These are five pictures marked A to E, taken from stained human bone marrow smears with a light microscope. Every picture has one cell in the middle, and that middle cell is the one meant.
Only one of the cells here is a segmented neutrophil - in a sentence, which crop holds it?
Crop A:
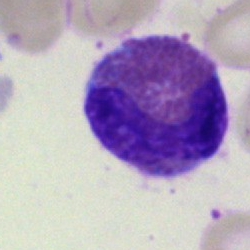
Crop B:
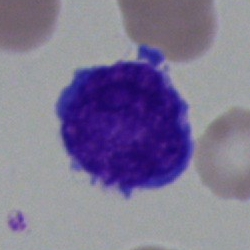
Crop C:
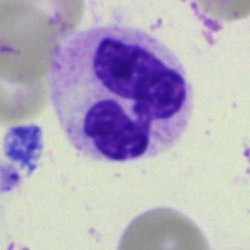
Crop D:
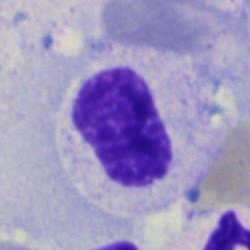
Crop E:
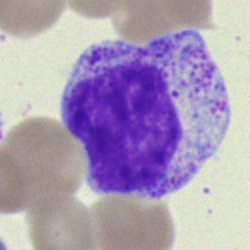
Of the labeled crops, the one with a segmented neutrophil is crop C.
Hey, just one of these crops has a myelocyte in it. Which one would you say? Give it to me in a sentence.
Crop E is the one to choose: it shows a myelocyte.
